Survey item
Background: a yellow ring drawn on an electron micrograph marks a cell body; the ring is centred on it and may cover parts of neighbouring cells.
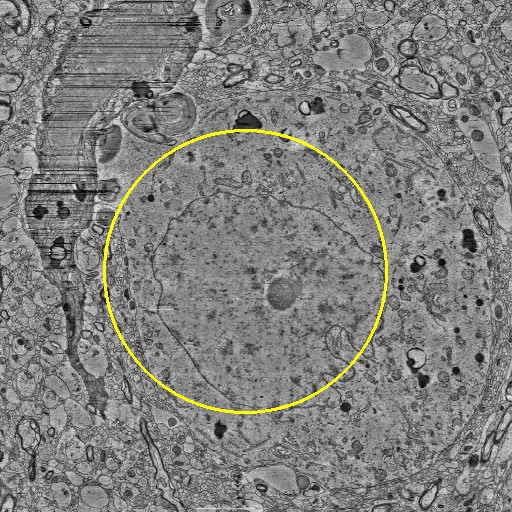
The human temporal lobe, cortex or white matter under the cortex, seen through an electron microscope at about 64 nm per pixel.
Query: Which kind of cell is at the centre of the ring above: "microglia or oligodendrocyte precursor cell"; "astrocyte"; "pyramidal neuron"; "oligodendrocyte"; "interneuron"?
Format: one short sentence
The cell in the middle of the ring is a pyramidal neuron.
